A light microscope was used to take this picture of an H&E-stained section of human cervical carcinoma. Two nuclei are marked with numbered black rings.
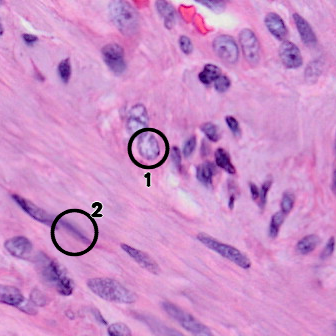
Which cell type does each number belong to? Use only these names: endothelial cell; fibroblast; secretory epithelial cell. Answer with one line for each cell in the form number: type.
1: endothelial cell
2: fibroblast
